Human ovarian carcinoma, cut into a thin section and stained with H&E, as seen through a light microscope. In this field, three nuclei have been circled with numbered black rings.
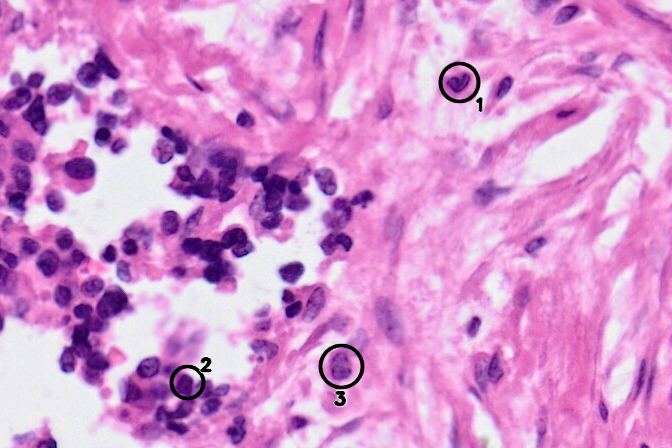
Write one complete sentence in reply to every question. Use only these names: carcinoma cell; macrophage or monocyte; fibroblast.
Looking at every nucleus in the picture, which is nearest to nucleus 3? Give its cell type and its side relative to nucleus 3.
The nearest nucleus is that of a fibroblast and lies above and to the right of nucleus 3.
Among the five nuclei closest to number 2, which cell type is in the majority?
Most of the five nuclei nearest to number 2 are those of carcinoma cells.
